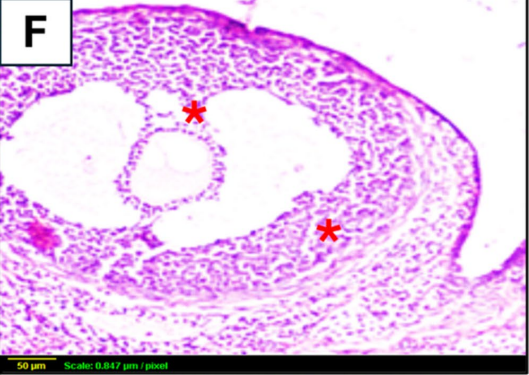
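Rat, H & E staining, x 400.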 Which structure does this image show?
a mature graafian follicle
